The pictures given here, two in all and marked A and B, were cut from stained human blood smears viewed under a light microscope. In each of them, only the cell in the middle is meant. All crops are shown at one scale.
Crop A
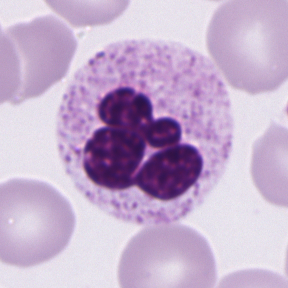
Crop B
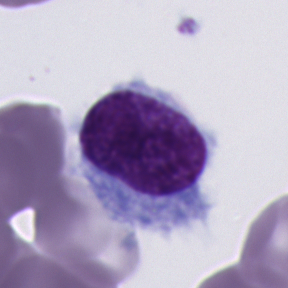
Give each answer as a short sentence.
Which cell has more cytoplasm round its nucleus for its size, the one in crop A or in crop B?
In crop A the nucleus takes up the smaller part of its cell.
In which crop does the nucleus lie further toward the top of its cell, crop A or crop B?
The nucleus in crop B lies further toward the top of its cell.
